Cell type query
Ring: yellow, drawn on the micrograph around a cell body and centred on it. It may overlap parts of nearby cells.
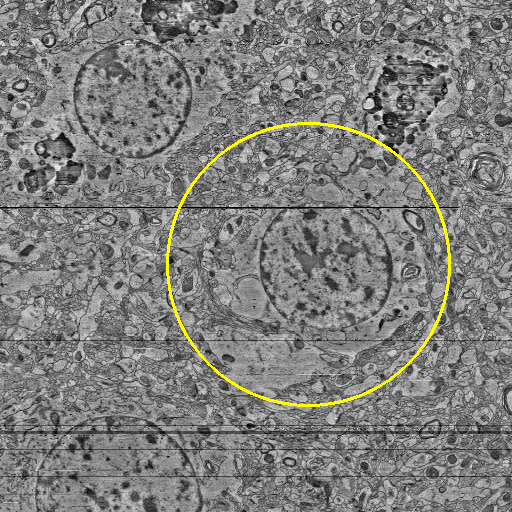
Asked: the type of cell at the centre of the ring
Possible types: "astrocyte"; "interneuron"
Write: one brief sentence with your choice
The ring marks an astrocyte.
